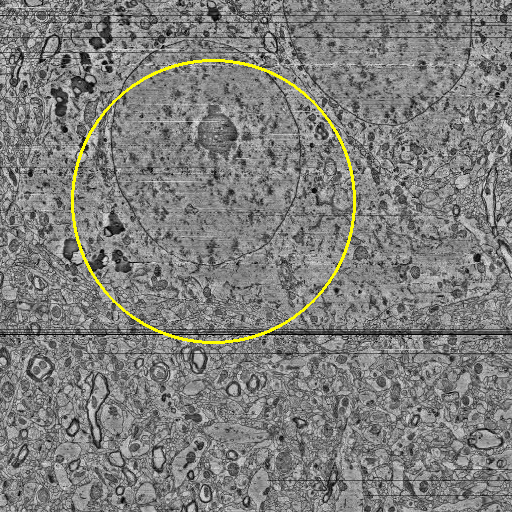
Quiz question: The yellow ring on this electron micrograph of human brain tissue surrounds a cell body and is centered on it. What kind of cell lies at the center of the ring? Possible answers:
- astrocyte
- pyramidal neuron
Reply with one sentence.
The ring's center lies on a pyramidal neuron.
